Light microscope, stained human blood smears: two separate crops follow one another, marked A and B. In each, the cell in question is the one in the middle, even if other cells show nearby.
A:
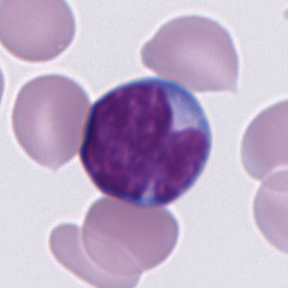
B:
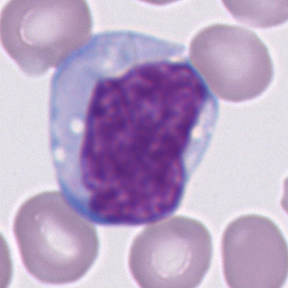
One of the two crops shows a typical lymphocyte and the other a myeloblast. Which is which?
A: typical lymphocyte
B: myeloblast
